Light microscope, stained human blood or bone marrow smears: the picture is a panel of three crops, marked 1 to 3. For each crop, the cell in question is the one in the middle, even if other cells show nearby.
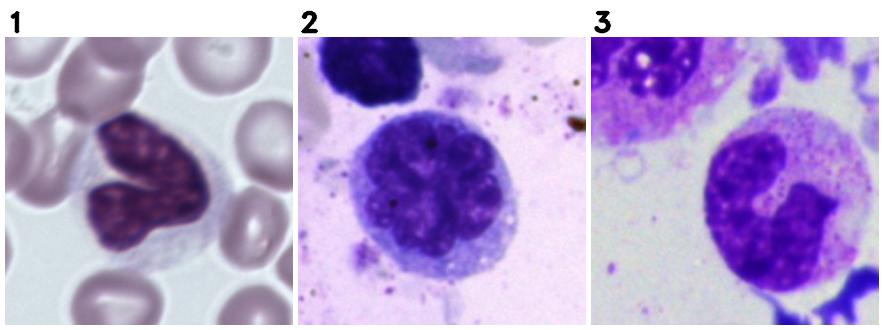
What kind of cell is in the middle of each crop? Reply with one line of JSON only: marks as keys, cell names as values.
{"1": "band neutrophil", "2": "monocyte", "3": "band neutrophil"}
